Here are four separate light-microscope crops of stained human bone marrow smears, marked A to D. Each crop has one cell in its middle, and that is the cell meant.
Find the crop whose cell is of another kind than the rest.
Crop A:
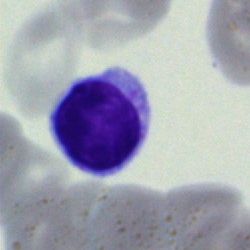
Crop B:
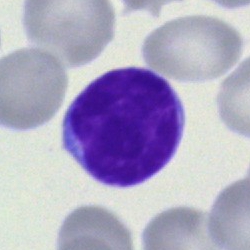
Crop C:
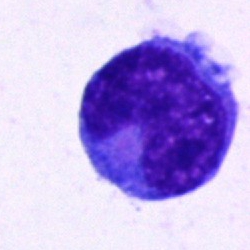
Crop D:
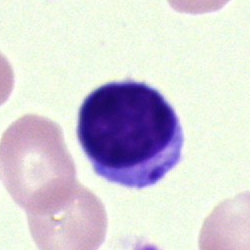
C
